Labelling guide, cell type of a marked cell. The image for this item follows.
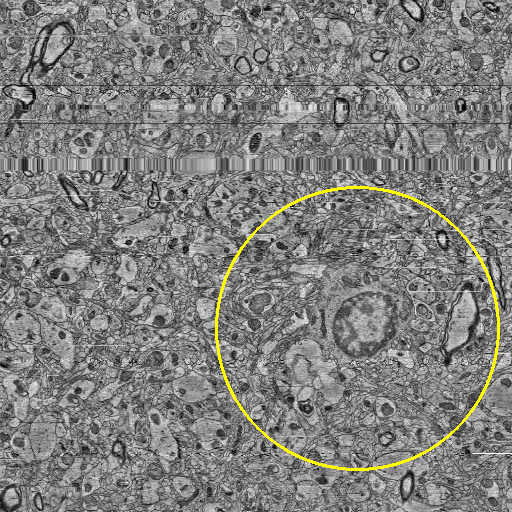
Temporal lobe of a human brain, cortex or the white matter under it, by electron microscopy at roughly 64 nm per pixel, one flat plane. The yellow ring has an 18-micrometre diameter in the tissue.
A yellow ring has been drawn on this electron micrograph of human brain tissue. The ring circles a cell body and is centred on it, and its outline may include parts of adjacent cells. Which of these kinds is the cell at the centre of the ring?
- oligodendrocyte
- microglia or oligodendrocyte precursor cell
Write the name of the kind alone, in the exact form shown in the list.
oligodendrocyte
